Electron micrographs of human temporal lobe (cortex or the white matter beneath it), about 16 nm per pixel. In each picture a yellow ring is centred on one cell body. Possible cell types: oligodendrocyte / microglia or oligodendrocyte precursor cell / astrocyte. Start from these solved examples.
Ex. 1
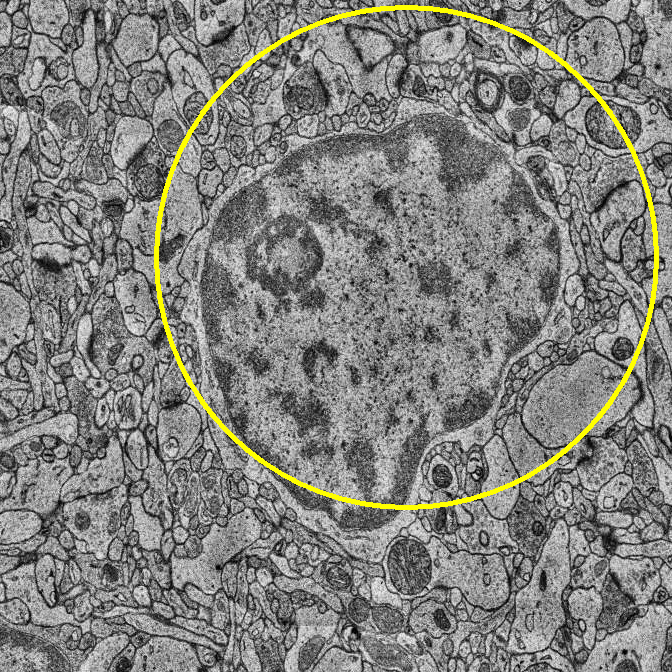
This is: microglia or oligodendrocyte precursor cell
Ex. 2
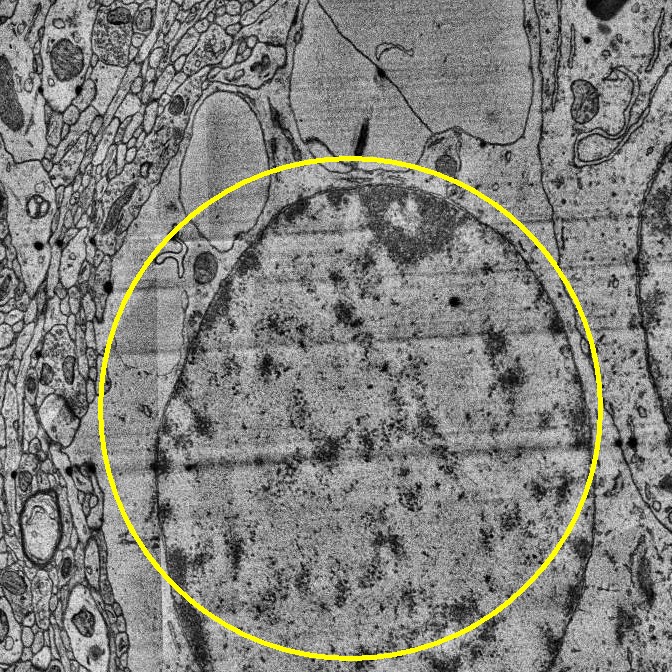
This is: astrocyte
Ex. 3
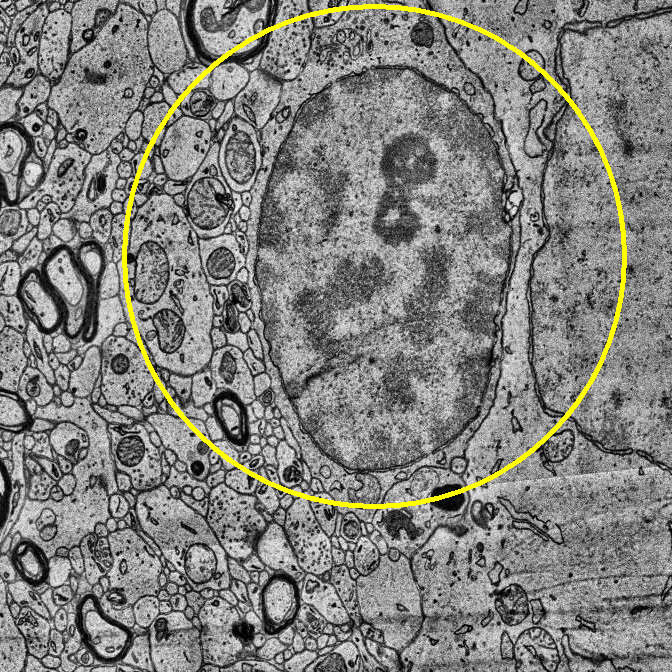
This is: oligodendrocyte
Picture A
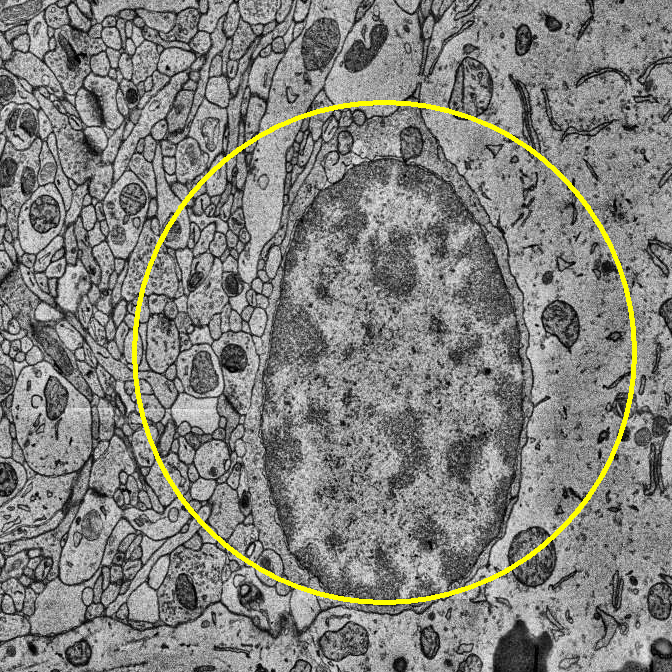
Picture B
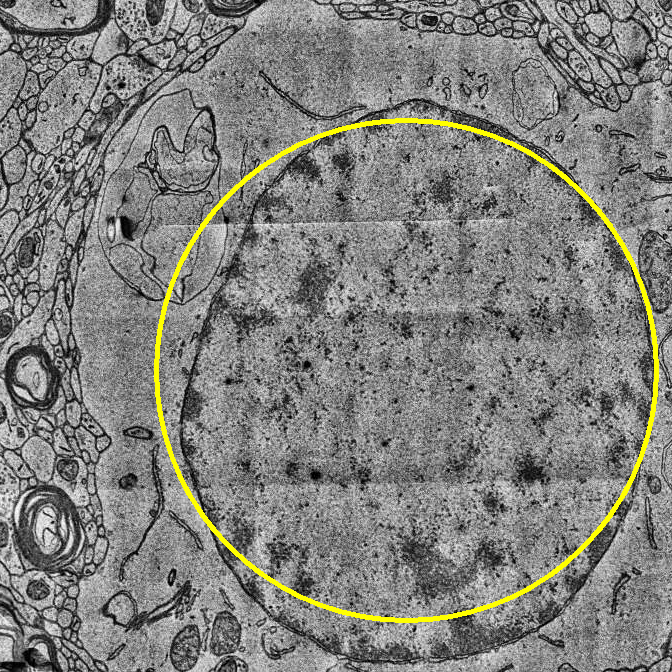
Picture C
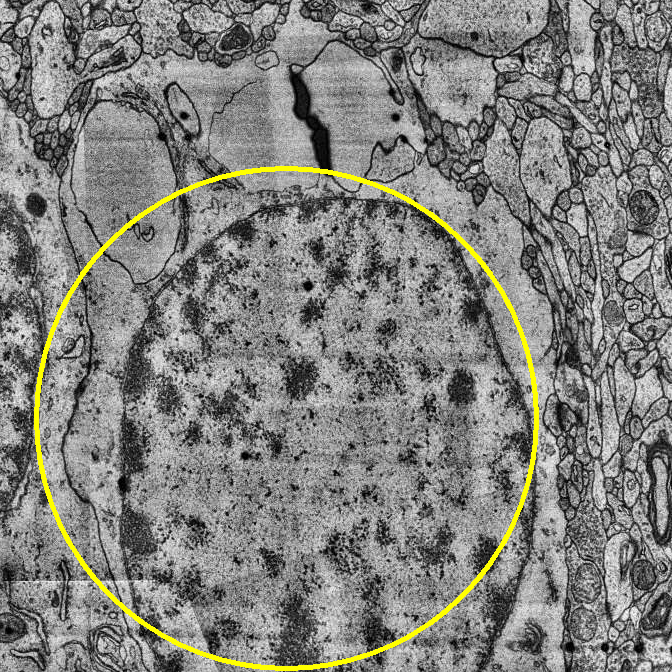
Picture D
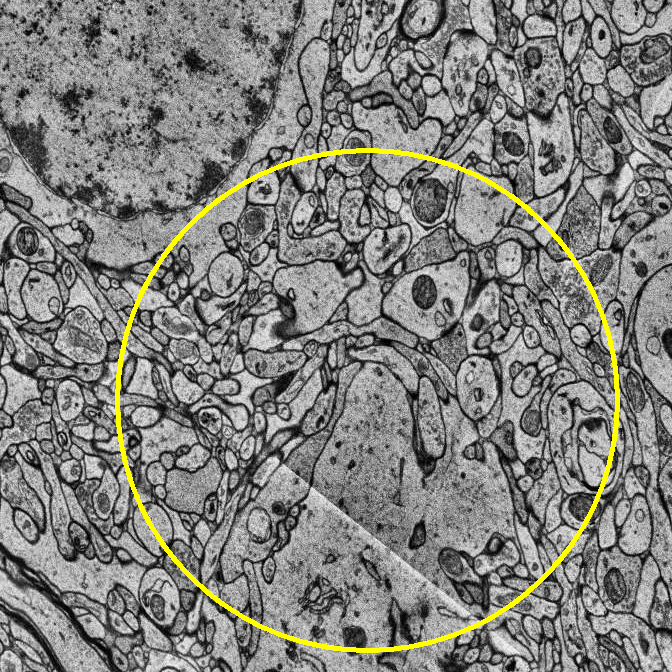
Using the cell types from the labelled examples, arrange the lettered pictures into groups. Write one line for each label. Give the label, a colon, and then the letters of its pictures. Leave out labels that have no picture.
oligodendrocyte: A
astrocyte: B, C, D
